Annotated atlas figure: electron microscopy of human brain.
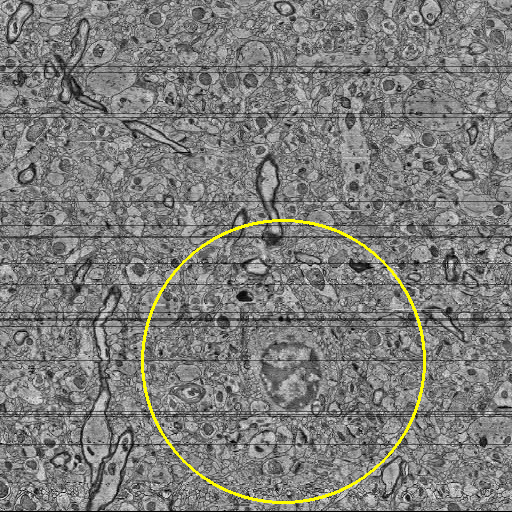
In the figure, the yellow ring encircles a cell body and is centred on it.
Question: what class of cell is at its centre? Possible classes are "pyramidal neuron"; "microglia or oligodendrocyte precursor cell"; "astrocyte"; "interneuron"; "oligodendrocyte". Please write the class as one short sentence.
The yellow ring is drawn around an oligodendrocyte.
